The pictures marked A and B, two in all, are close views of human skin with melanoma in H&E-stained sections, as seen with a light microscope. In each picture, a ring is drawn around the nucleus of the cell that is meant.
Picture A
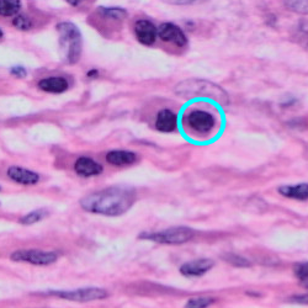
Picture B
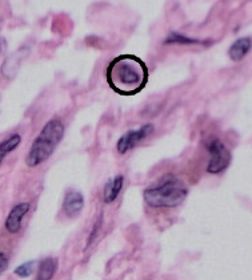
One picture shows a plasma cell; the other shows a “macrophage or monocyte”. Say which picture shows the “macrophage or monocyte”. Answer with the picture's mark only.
B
